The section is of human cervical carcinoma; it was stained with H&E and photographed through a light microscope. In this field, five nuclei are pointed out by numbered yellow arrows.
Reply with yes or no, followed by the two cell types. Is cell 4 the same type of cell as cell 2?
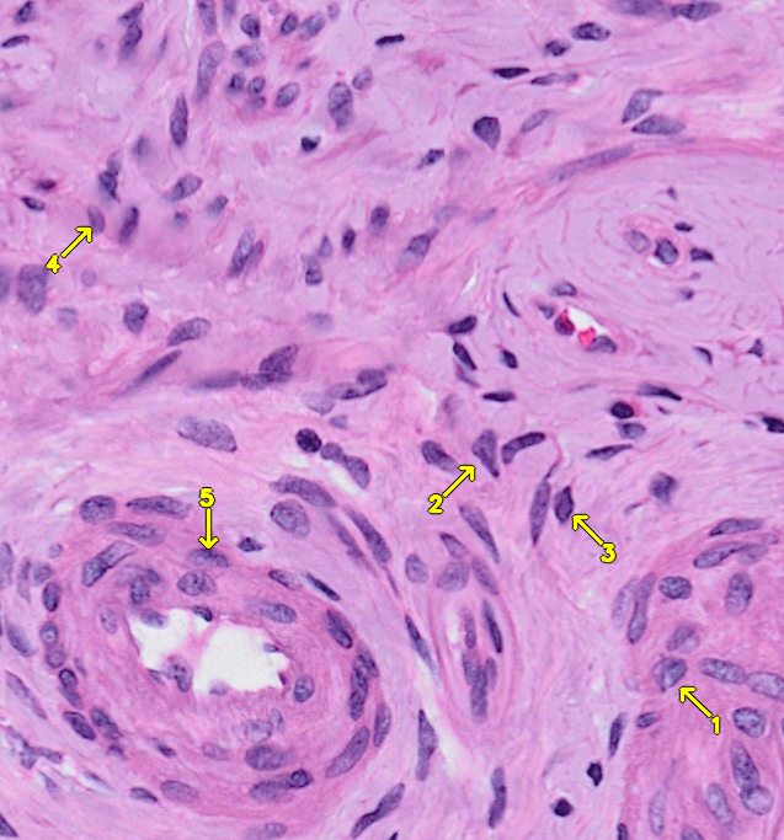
Yes, cells 4 and 2 both belong among the fibroblasts.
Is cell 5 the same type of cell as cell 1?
Yes, the numbered cells 5 and 1 are both smooth muscle cells.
